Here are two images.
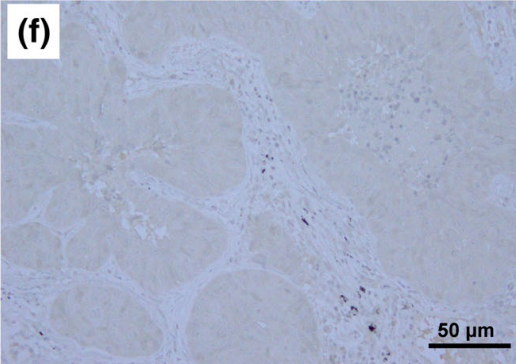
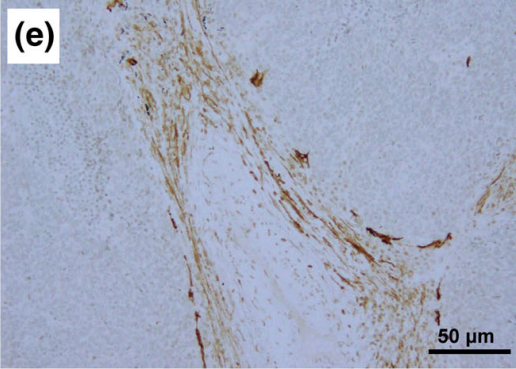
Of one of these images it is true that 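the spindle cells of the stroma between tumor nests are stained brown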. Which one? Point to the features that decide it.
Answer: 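First image: the stroma between tumor nests is pale with no brown spindle cells. Second image: a band of stroma is filled with brown-stained elongated spindle cells.
Answer: the second image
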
